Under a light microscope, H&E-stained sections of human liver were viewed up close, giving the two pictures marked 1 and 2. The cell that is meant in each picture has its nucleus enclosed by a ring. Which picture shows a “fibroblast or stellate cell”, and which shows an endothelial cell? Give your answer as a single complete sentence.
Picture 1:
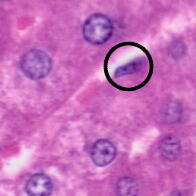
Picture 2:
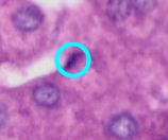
The cell in picture 1 is an endothelial cell, and the one in picture 2 is a “fibroblast or stellate cell”.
